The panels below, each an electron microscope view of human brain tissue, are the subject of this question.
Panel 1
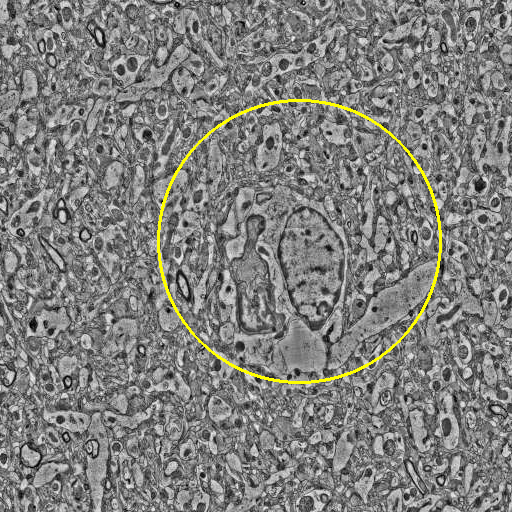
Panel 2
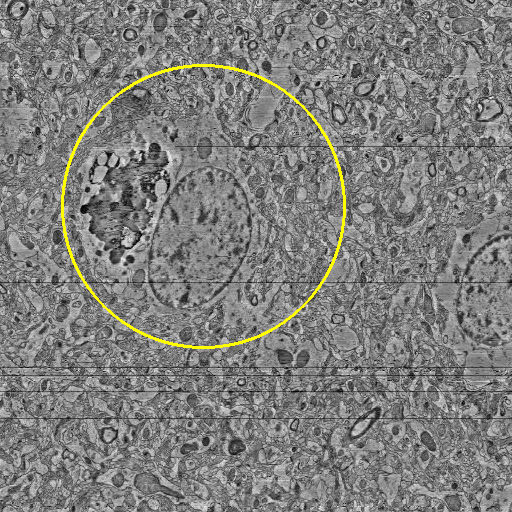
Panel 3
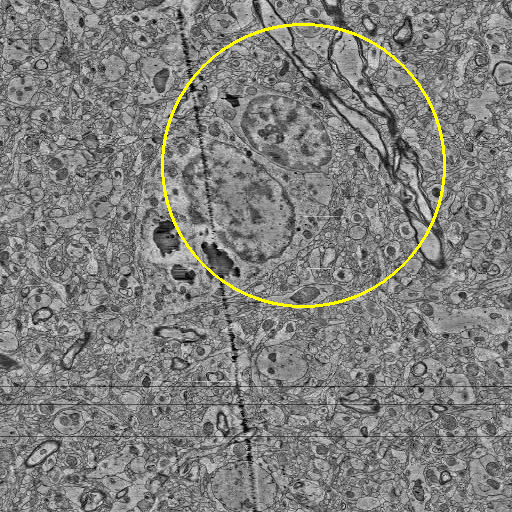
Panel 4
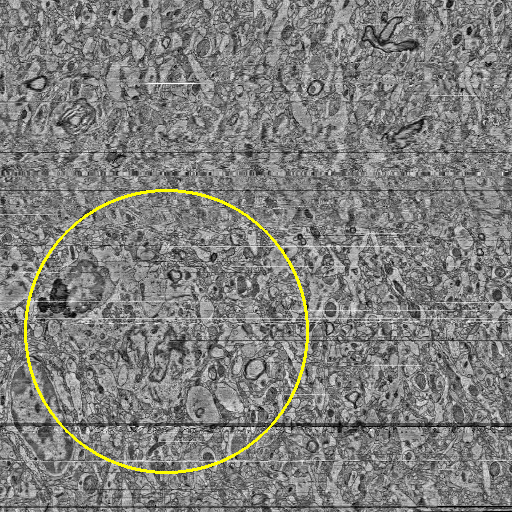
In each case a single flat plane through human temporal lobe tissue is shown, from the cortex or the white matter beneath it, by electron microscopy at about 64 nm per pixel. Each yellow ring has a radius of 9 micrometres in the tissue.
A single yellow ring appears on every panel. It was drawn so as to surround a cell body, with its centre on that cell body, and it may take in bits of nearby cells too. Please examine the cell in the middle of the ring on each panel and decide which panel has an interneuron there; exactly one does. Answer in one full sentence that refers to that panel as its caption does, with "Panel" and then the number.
Panel 4 is where the ring's central cell answers the question.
